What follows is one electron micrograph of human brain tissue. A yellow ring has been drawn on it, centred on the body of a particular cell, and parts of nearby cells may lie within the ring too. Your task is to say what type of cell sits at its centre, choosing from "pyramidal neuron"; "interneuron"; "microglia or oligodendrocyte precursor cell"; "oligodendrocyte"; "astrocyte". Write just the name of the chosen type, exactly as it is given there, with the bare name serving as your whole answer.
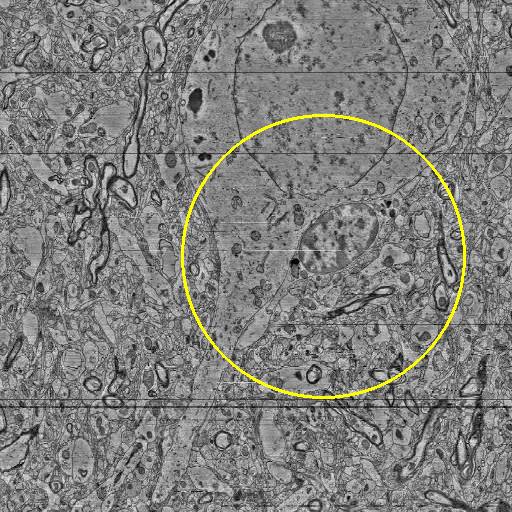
microglia or oligodendrocyte precursor cell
